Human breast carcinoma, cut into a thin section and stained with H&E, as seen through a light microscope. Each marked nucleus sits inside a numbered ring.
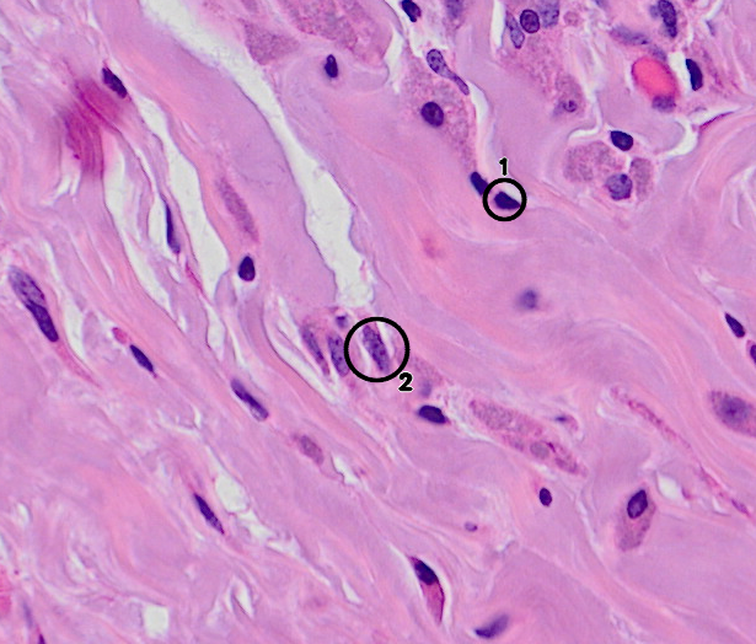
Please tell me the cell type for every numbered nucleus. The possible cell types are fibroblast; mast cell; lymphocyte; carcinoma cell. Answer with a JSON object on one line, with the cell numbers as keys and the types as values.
{"1": "lymphocyte", "2": "fibroblast"}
